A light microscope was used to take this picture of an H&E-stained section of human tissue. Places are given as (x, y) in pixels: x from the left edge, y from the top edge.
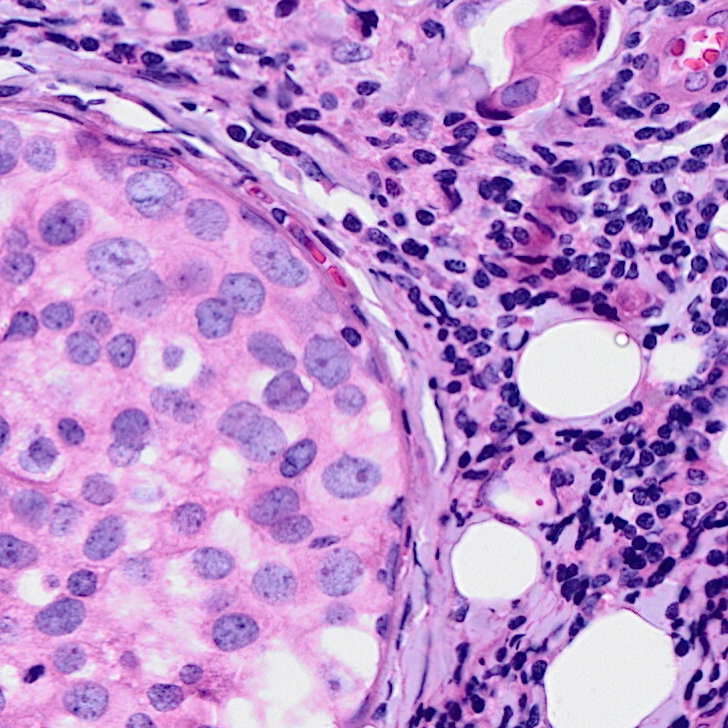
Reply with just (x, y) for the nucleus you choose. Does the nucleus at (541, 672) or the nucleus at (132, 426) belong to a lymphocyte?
(541, 672)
